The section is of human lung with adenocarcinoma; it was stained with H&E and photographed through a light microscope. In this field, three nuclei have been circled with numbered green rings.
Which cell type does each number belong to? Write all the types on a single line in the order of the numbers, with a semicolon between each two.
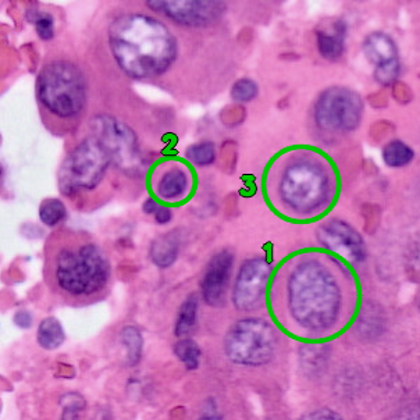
carcinoma cell; lymphocyte; carcinoma cell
